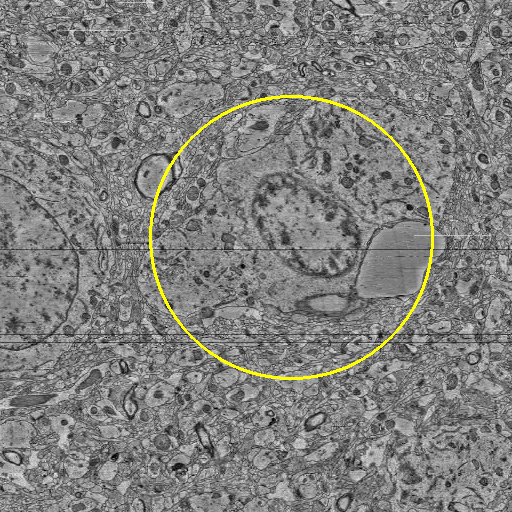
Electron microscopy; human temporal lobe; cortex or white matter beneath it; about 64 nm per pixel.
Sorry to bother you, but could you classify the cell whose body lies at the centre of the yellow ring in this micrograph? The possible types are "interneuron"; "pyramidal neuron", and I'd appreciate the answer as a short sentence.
The ringed cell body is that of an interneuron.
